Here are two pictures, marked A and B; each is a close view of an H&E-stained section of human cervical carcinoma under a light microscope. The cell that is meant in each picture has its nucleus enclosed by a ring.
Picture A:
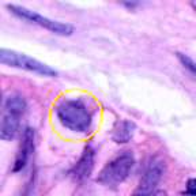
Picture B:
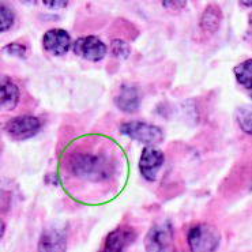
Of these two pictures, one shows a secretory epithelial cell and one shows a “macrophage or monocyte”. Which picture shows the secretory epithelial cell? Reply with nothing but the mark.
A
